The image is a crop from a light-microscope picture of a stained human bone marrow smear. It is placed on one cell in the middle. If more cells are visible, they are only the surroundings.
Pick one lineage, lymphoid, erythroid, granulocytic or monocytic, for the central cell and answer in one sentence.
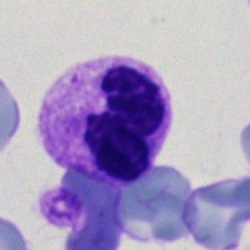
The central cell in this crop should be counted within the granulocytic lineage.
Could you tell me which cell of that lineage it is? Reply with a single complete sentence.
The cell occupying the middle of the crop is a segmented neutrophil.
